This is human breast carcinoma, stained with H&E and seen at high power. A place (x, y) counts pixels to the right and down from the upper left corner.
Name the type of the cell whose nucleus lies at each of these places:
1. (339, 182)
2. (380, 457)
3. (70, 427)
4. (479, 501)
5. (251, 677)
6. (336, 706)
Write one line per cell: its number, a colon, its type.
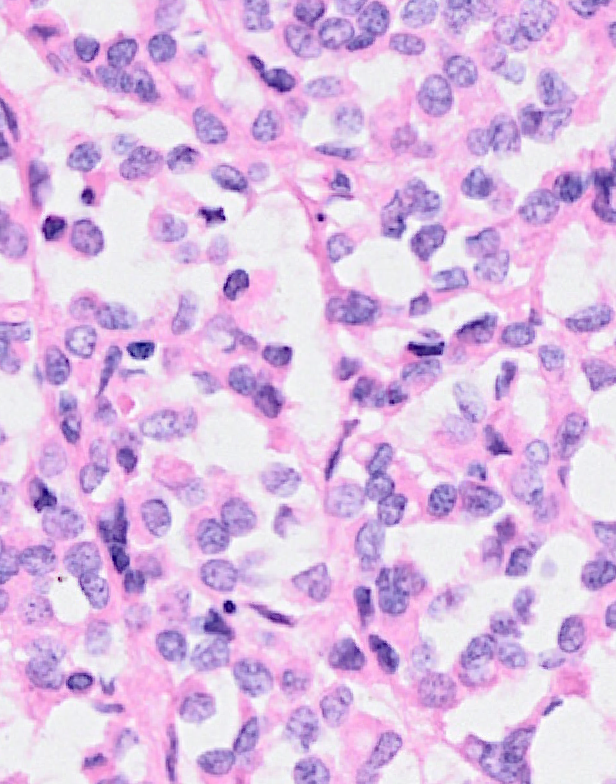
1: endothelial cell
2: carcinoma cell
3: endothelial cell
4: carcinoma cell
5: carcinoma cell
6: carcinoma cell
